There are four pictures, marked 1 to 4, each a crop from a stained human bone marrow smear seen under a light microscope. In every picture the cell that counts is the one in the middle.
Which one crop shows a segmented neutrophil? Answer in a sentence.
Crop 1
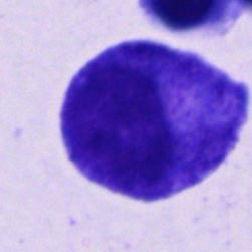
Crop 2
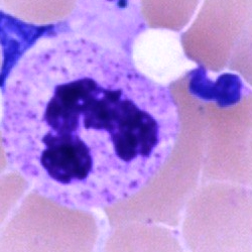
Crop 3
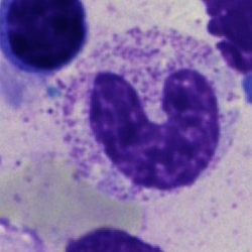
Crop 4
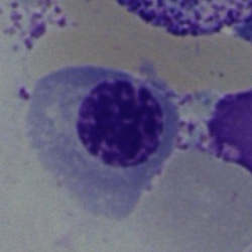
Among the crops provided, a segmented neutrophil occupies the center of crop 2.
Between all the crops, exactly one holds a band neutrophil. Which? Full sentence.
Of these crops, it is crop 3 that shows a band neutrophil.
